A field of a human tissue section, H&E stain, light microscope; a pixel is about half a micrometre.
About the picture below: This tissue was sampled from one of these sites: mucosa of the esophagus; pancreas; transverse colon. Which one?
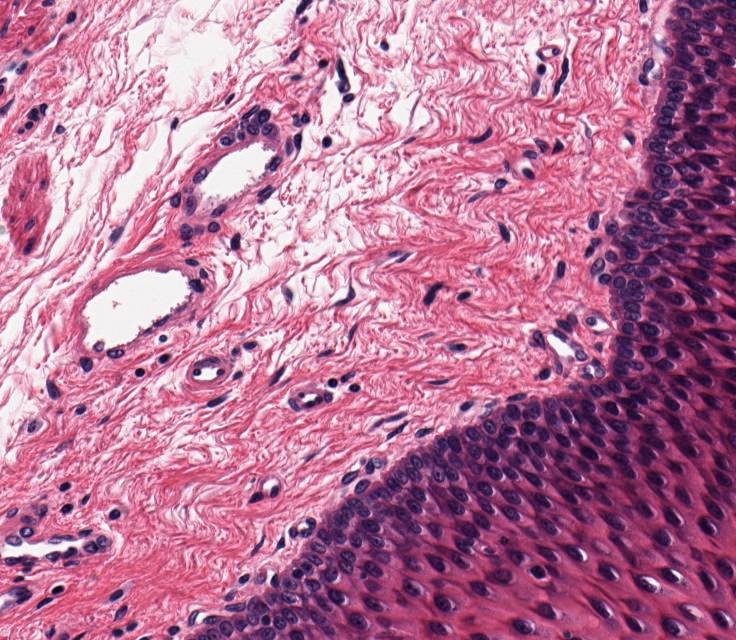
mucosa of the esophagus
